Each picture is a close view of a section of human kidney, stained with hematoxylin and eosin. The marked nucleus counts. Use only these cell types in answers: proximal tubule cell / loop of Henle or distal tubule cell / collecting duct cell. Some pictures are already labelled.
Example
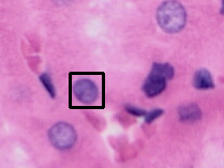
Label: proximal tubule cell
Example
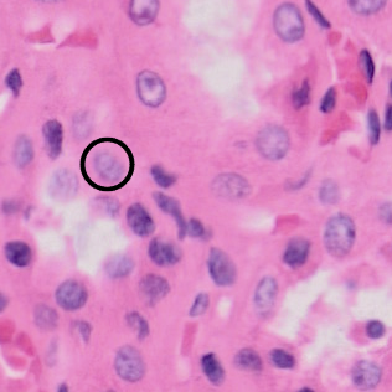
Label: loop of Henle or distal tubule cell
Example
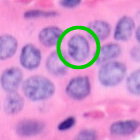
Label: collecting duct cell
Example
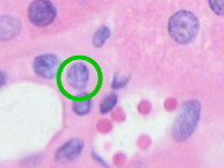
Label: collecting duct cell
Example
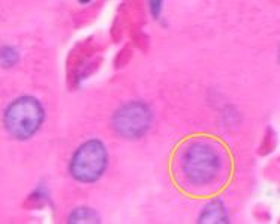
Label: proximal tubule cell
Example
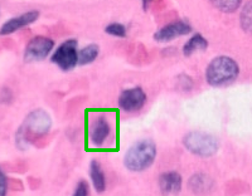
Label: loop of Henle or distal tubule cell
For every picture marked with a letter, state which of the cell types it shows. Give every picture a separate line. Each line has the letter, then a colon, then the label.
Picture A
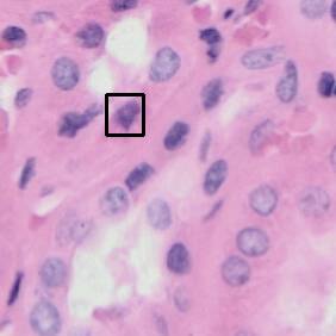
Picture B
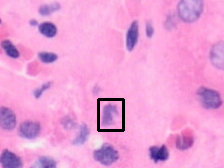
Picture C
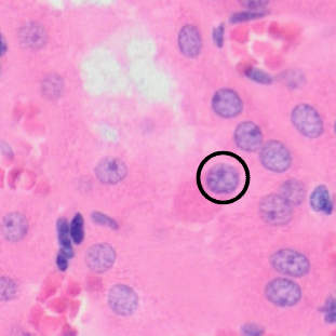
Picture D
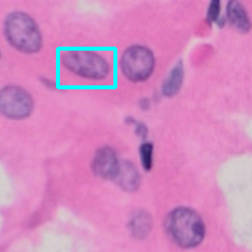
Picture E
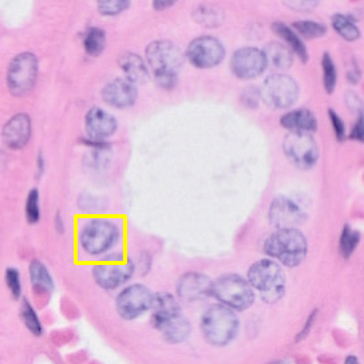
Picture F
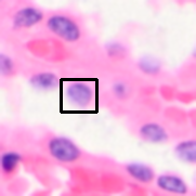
A: loop of Henle or distal tubule cell
B: loop of Henle or distal tubule cell
C: proximal tubule cell
D: proximal tubule cell
E: collecting duct cell
F: loop of Henle or distal tubule cell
